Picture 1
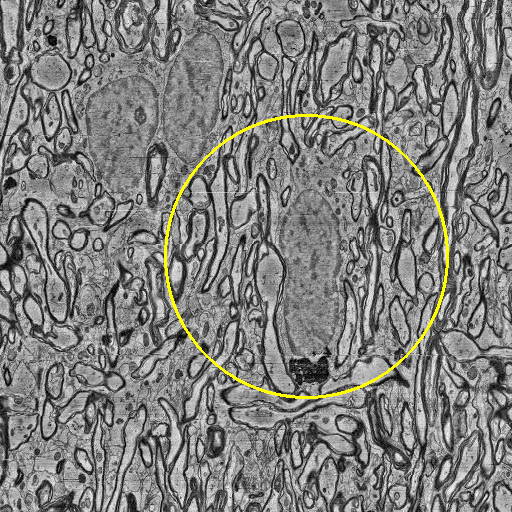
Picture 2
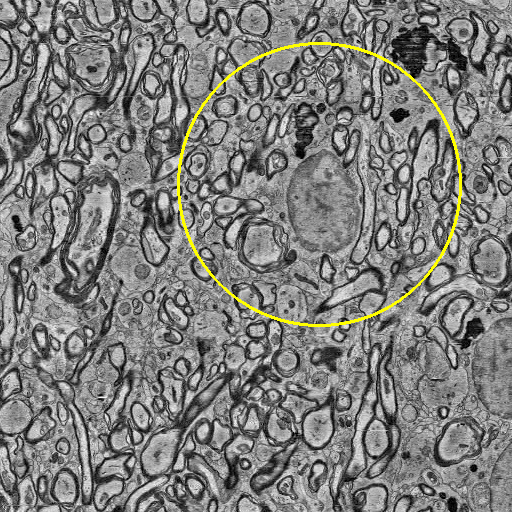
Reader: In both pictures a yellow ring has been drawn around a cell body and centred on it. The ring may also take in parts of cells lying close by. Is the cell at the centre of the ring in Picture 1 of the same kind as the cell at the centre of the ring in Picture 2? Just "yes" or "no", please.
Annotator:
yes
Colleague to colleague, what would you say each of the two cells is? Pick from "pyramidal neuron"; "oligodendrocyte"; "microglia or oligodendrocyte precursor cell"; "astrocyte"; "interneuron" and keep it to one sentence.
Each of the two rings surrounds an oligodendrocyte.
